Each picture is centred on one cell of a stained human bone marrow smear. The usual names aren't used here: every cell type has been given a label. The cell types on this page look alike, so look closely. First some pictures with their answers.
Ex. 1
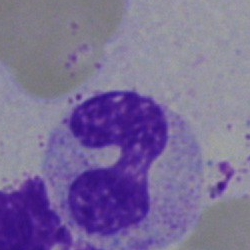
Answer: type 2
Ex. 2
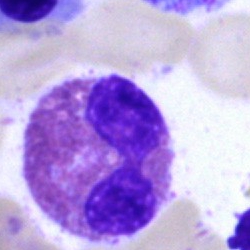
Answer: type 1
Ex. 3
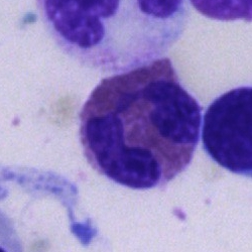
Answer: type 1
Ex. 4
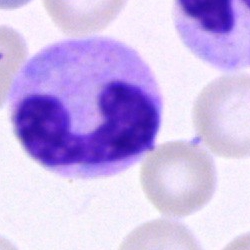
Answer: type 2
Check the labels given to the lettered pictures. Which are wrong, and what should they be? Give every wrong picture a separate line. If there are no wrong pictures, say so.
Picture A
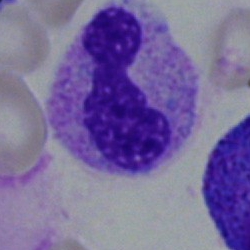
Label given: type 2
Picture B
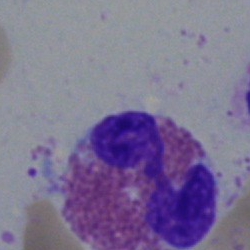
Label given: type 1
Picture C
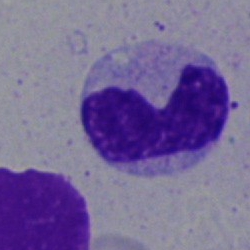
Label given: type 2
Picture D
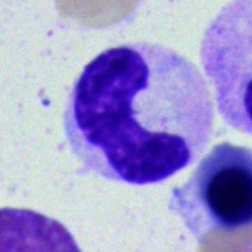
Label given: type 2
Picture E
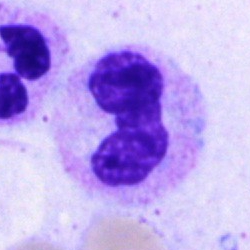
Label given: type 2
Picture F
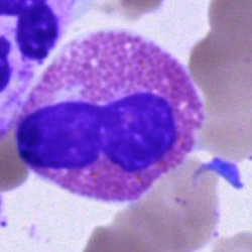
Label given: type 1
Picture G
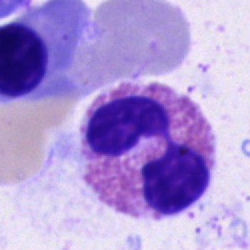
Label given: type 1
No label is wrong.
